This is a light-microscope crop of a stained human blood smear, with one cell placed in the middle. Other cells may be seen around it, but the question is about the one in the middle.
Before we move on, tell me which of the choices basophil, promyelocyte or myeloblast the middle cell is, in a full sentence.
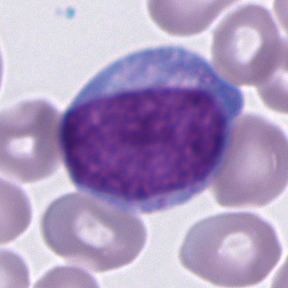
The central element of this crop is a cell, namely a promyelocyte.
